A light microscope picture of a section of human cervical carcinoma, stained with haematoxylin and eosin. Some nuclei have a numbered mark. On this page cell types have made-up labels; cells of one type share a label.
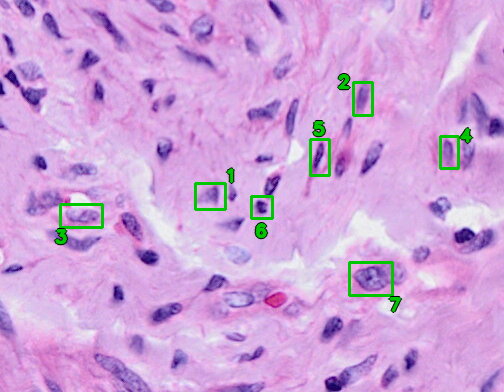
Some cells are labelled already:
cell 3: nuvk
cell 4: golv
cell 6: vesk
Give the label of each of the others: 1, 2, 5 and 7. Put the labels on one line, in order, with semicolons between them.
vesk; golv; golv; nuvk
